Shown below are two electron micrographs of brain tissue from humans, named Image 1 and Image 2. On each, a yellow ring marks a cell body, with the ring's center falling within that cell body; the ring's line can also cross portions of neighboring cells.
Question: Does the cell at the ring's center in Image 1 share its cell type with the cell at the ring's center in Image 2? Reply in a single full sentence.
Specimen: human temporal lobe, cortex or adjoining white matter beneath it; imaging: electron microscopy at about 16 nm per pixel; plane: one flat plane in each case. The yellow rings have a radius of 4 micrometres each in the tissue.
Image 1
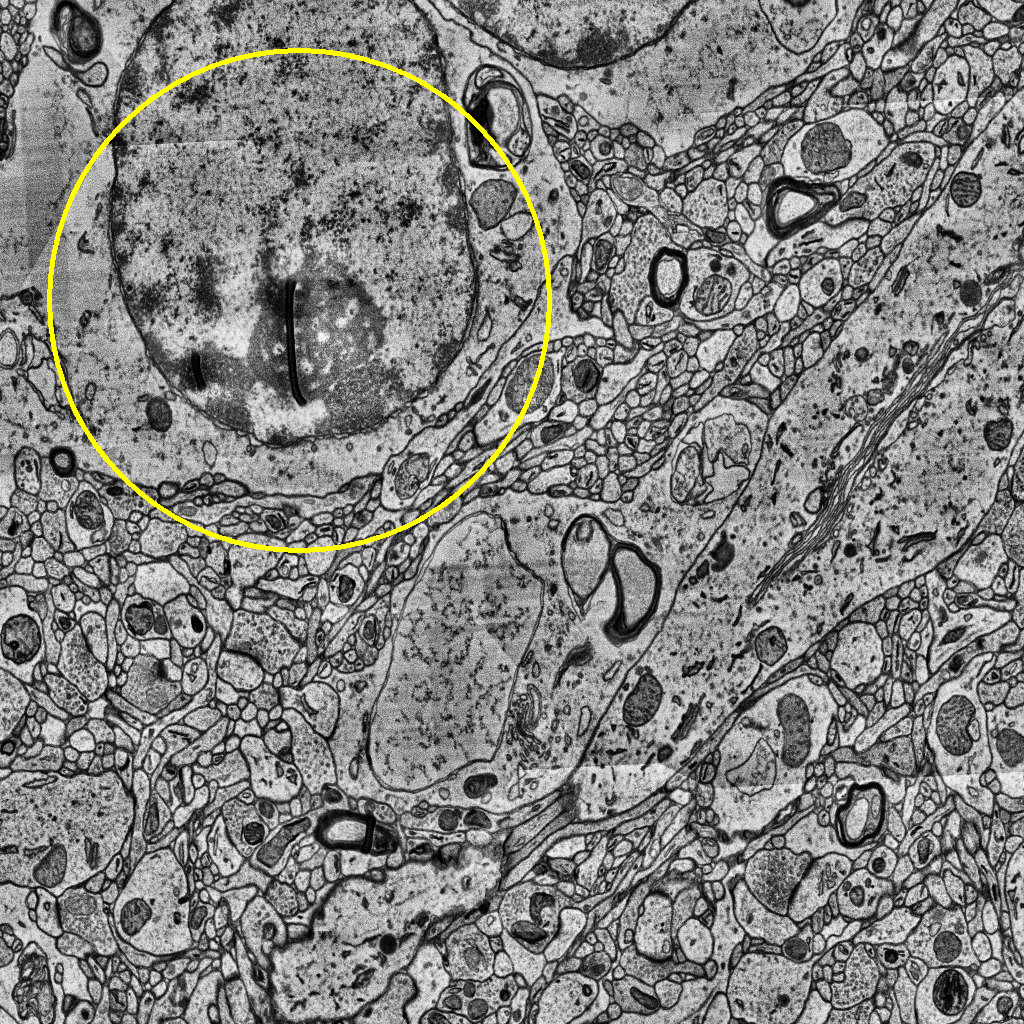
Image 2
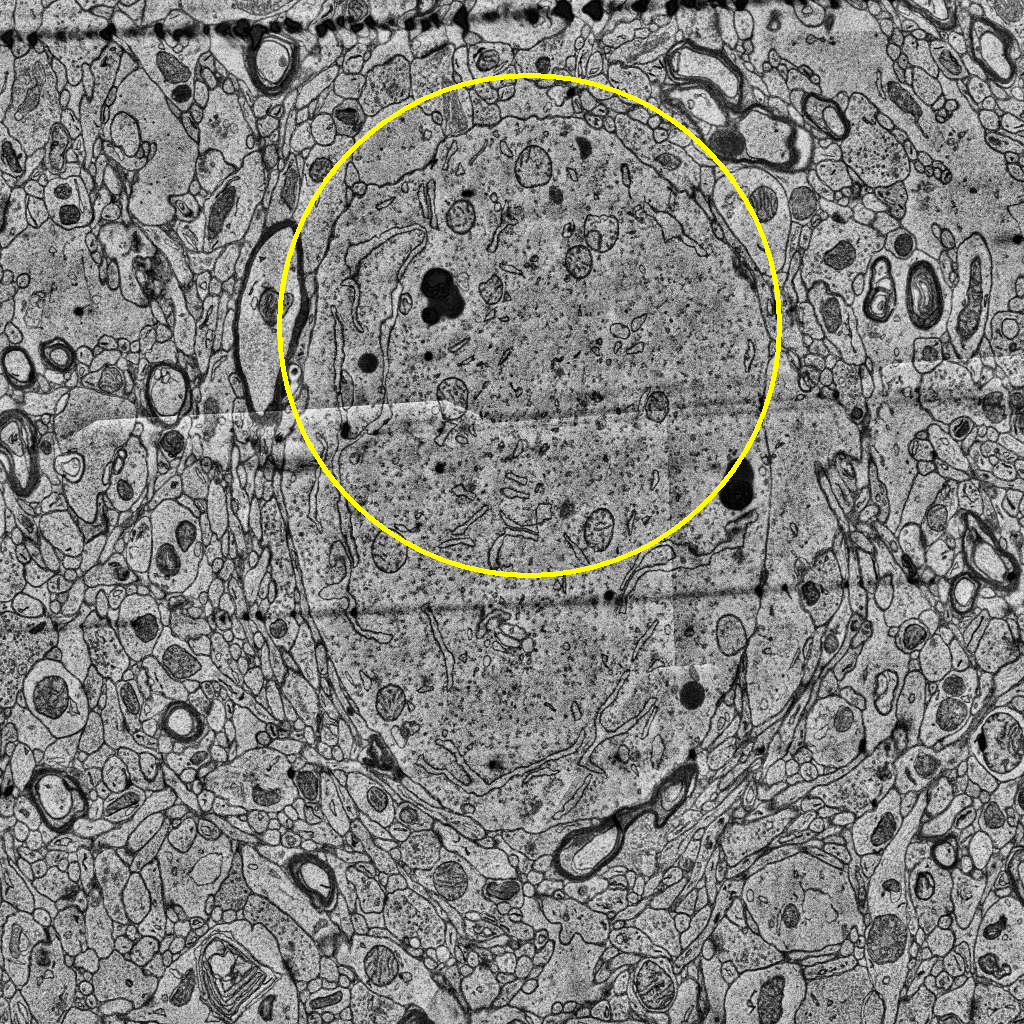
No, the two cells at the ring centers, in Image 1 and Image 2, are of two cell types.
